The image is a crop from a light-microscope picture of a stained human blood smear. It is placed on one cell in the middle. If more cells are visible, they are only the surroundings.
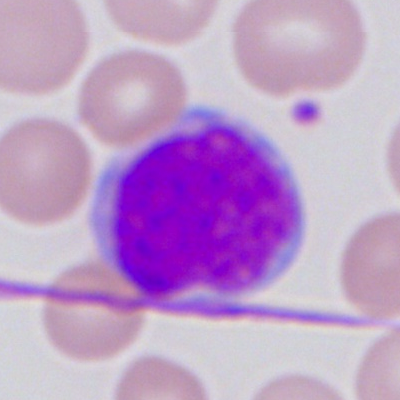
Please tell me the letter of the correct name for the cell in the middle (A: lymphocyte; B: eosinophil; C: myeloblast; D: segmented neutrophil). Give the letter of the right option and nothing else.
C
